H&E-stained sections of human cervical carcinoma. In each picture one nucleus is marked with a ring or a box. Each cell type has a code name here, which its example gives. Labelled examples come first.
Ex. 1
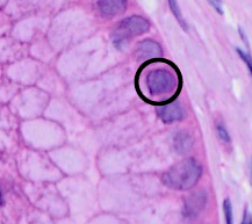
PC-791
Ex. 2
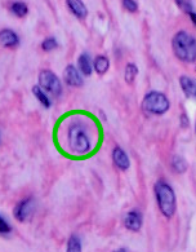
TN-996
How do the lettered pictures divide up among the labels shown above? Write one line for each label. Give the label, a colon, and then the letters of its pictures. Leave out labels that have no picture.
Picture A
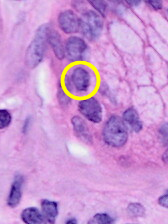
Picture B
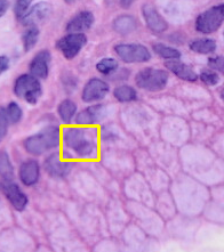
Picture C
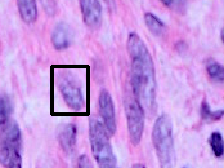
PC-791: A, B
TN-996: C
